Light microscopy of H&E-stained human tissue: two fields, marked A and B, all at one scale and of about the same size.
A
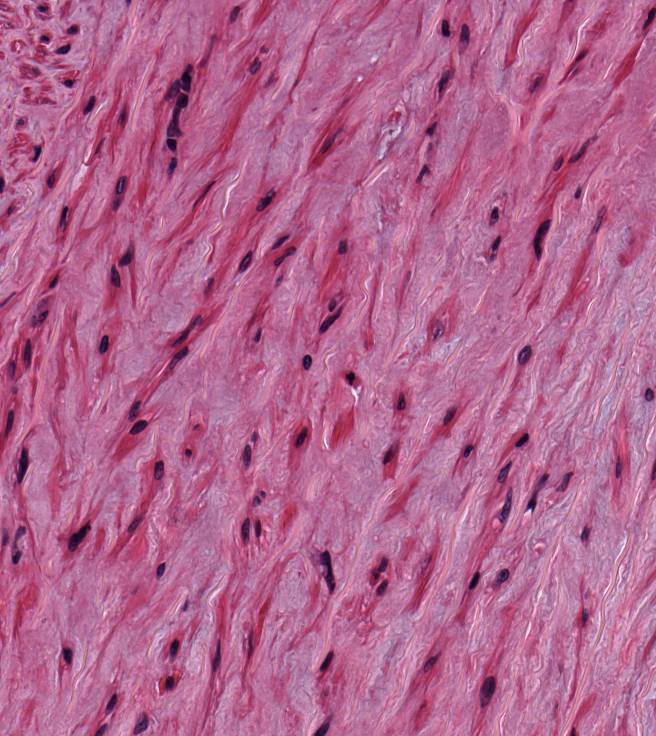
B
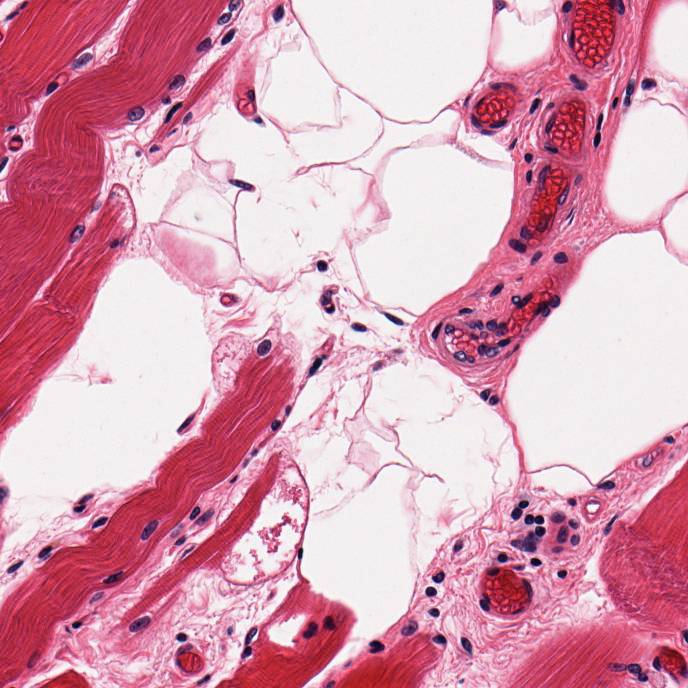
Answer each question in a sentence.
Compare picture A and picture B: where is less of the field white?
Unstained space takes up less of picture A than of picture B.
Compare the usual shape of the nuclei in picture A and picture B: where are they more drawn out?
The nuclei are more elongated in picture A.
